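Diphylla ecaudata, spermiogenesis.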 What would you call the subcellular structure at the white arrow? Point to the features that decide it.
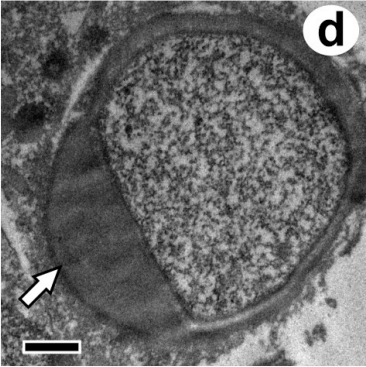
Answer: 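Acrosome. The arrow points to a homogeneous dense cap covering one side of a round nucleus. The cap is smoother and darker than the granular chromatin beside it.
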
